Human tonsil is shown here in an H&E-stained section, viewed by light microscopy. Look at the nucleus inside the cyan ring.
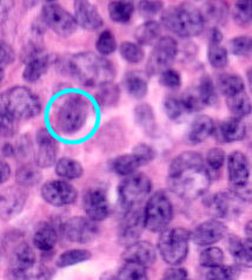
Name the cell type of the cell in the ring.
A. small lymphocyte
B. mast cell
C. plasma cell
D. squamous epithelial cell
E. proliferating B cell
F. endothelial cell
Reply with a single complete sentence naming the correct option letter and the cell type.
Here the correct option is E, since the cell in the ring is a proliferating B cell.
